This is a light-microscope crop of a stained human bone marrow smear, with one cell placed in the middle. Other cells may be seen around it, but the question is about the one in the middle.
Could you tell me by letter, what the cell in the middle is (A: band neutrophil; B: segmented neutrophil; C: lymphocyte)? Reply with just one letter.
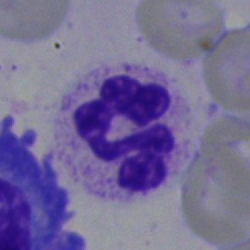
B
